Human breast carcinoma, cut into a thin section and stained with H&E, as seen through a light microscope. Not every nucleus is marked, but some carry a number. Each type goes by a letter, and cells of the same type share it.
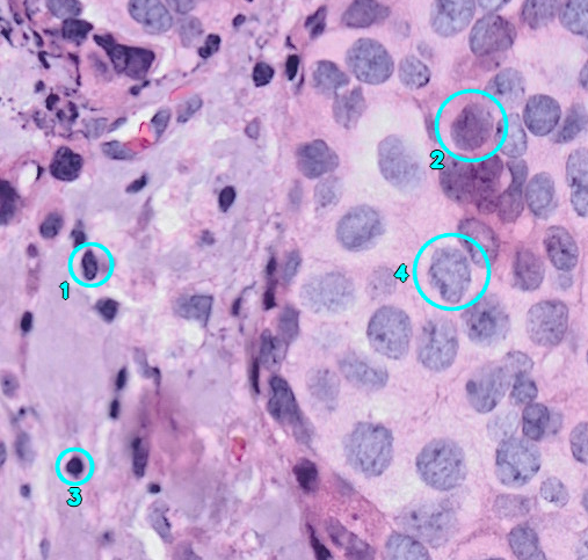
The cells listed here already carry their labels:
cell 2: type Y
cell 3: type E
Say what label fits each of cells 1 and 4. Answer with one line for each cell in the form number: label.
1: type E
4: type Y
